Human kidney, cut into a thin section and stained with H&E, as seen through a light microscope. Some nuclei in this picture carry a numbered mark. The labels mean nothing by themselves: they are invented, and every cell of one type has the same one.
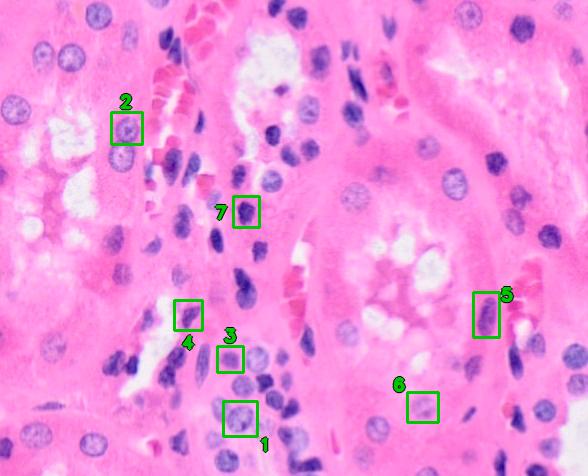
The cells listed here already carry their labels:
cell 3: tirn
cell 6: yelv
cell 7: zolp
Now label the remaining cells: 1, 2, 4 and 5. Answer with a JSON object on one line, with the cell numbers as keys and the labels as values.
{"1": "tirn", "2": "yelv", "4": "zolp", "5": "yelv"}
